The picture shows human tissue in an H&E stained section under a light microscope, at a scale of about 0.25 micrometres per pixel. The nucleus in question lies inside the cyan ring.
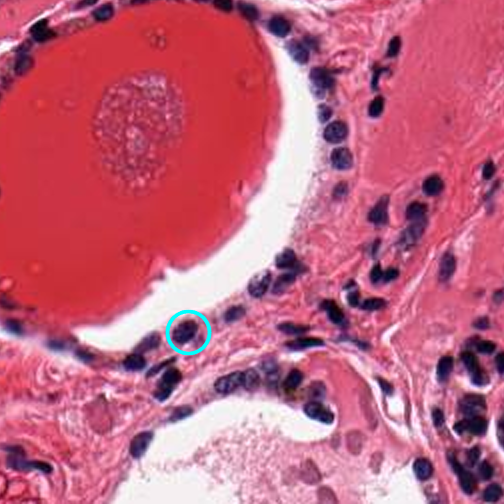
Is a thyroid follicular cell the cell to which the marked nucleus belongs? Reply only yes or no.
yes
